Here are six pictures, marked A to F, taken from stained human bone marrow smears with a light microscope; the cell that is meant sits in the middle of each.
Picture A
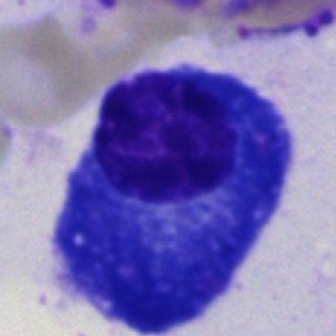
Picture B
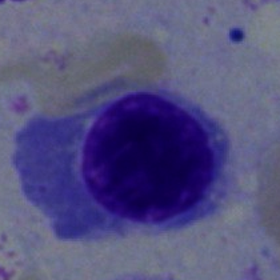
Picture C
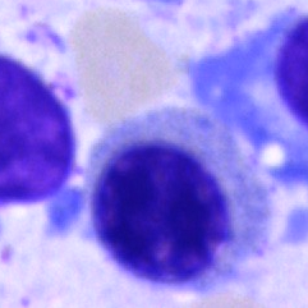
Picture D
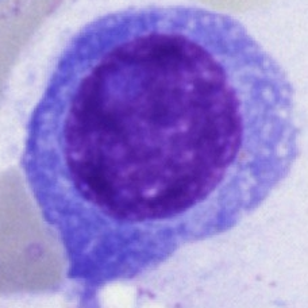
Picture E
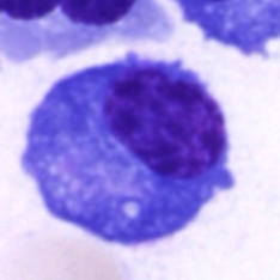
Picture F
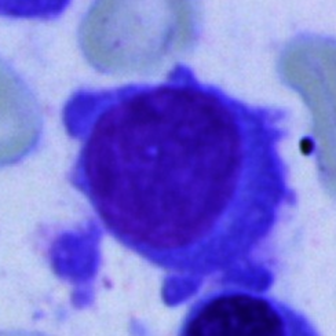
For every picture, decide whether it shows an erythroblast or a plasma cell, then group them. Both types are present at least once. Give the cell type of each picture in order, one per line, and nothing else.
plasma cell
erythroblast
erythroblast
plasma cell
plasma cell
plasma cell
